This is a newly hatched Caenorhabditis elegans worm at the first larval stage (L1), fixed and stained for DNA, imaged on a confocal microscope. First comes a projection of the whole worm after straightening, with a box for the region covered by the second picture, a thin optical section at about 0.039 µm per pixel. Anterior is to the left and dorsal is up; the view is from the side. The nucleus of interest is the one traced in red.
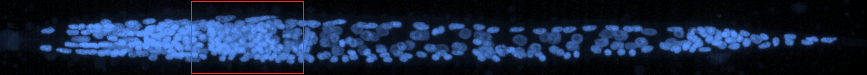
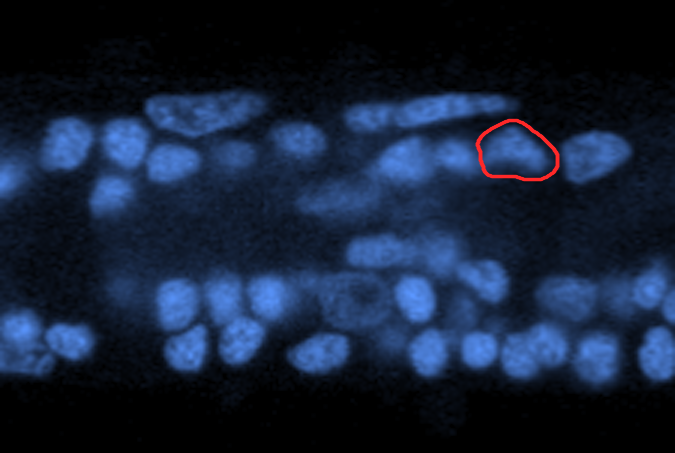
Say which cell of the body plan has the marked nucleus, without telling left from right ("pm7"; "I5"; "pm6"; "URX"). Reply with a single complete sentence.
The marked cell is pm6, a pharyngeal muscle cell.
